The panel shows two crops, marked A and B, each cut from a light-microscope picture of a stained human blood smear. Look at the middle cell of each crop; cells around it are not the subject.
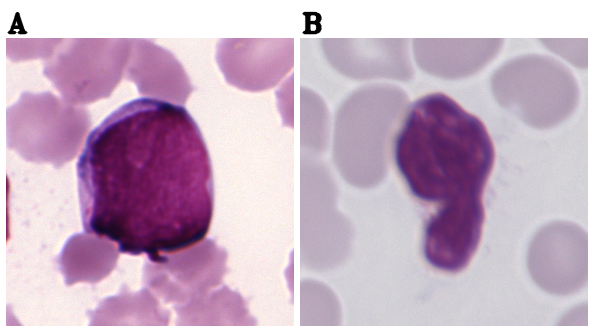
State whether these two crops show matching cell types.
no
